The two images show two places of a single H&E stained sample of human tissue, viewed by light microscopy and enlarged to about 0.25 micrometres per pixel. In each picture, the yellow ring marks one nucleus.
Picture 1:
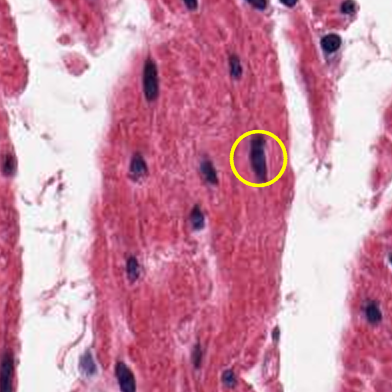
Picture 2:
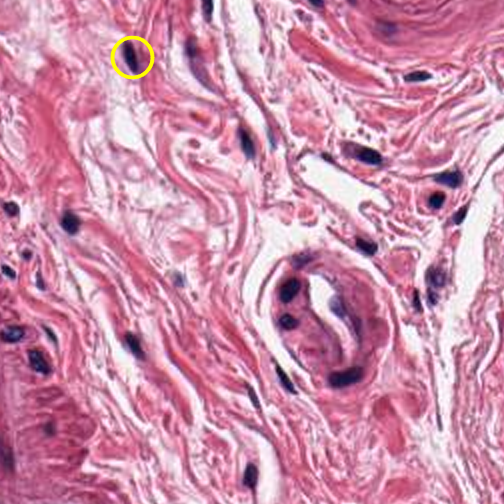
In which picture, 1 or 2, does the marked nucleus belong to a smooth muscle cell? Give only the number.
1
